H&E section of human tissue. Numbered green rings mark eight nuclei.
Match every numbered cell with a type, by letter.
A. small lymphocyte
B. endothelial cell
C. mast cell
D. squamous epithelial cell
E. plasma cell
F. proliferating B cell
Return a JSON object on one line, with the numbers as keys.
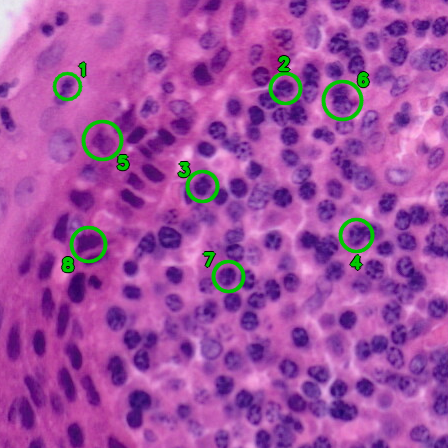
{"1": "D", "2": "E", "3": "E", "4": "E", "5": "D", "6": "E", "7": "E", "8": "D"}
